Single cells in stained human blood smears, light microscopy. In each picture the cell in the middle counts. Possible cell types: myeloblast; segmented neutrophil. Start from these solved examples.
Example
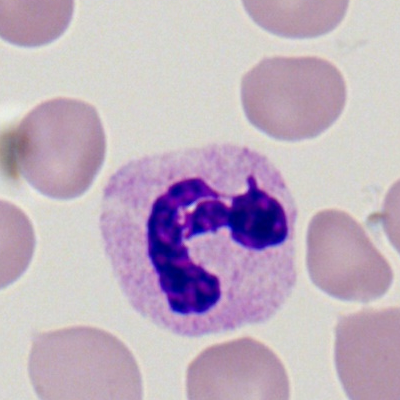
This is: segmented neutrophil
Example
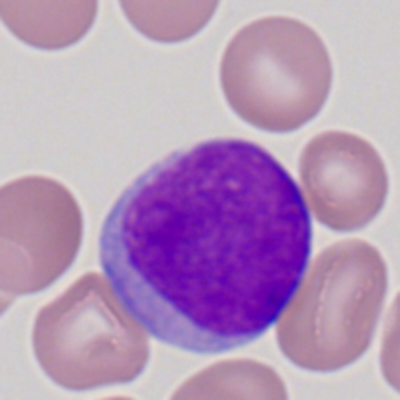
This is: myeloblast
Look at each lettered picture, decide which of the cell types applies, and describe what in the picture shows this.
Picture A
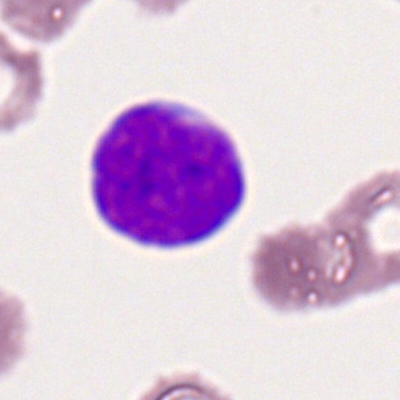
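myeloblast: The nucleus fills almost the whole cell, leaving only a very thin rim of cytoplasm.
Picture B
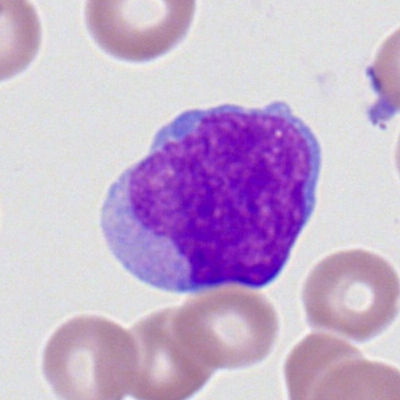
myeloblast: The nucleus is a single unlobed mass that fills most of the cell.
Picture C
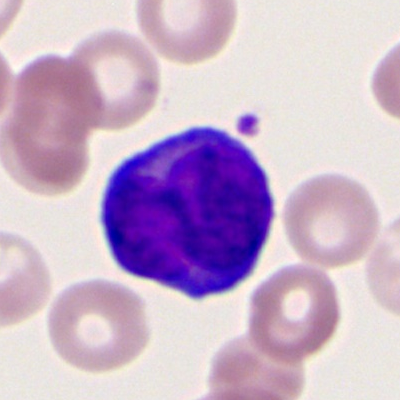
myeloblast: Only a very thin rim of deep blue cytoplasm shows at the edge of the cell.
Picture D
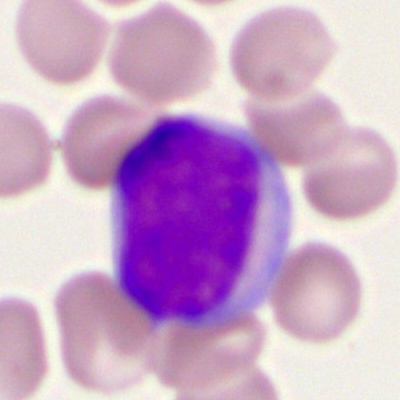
myeloblast: The nucleus is a single unlobed mass.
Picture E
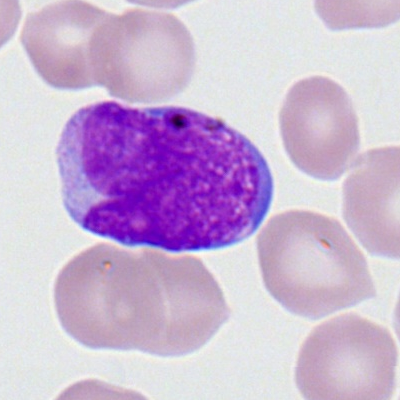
myeloblast: The nucleus fills most of the cell and has a shallow notch on its left side.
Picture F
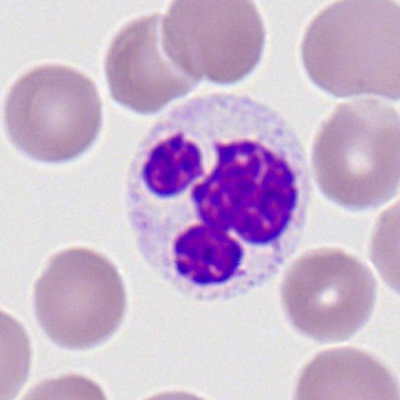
segmented neutrophil: Plentiful pale pinkish-lilac cytoplasm surrounds the lobes.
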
